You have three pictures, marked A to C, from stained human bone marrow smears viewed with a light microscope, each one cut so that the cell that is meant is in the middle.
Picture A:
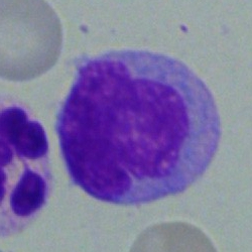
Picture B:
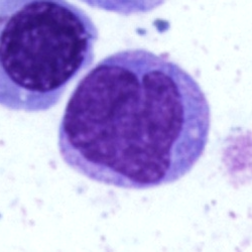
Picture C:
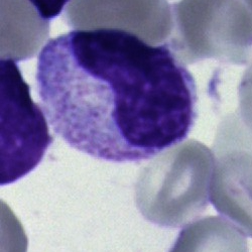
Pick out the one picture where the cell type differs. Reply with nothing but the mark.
C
